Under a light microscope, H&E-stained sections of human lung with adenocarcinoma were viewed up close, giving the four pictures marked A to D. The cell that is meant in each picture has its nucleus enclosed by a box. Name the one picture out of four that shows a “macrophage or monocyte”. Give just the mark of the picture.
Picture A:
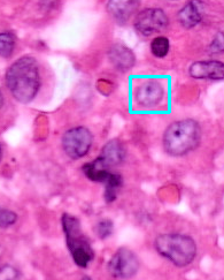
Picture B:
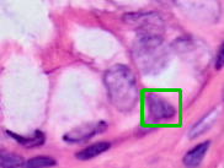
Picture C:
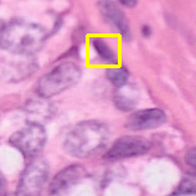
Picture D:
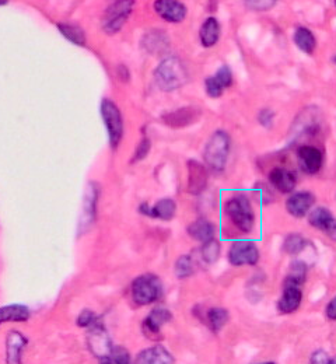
A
